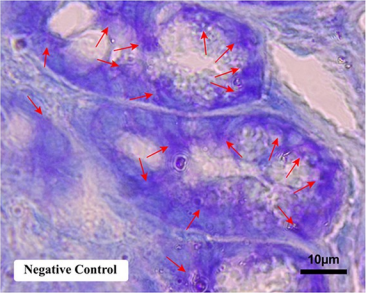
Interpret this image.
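Rounded structures with pale centres are surrounded by a broad rim of violet-blue staining. Within this rim the violet stain is diffuse and patchy, and single cells with sharp boundaries are hard to make out. Violet material appears spread through the tissue instead of being confined to compact, intensely stained cells.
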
